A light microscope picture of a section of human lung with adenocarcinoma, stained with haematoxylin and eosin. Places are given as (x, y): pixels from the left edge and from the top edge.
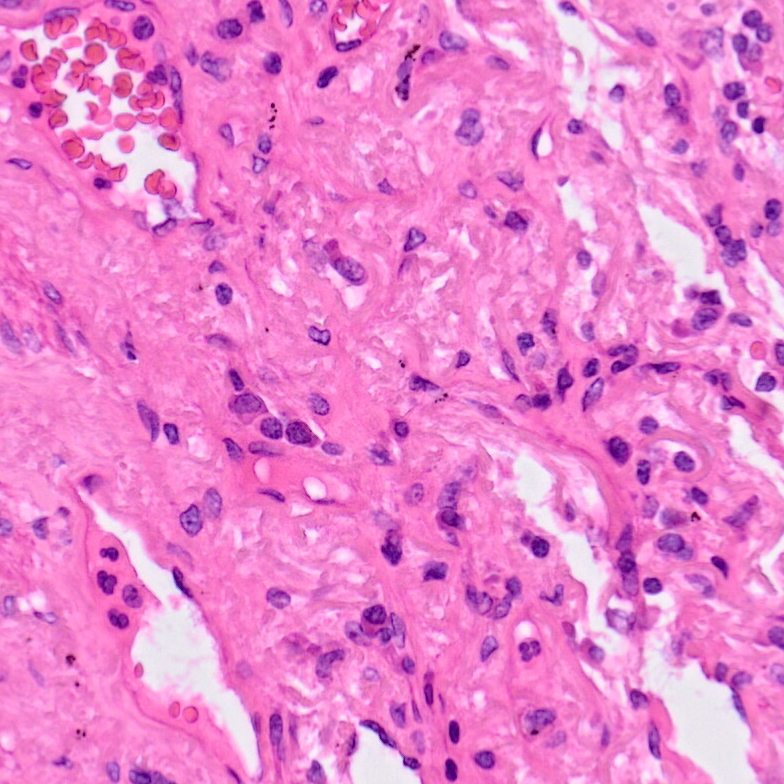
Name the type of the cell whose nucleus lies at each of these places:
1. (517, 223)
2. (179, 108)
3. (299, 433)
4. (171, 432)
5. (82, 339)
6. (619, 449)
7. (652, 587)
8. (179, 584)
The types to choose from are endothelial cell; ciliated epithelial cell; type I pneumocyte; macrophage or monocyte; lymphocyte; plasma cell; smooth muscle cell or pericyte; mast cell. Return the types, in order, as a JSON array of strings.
["plasma cell", "endothelial cell", "plasma cell", "mast cell", "smooth muscle cell or pericyte", "plasma cell", "lymphocyte", "endothelial cell"]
